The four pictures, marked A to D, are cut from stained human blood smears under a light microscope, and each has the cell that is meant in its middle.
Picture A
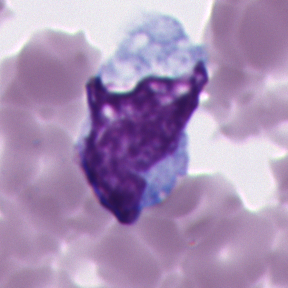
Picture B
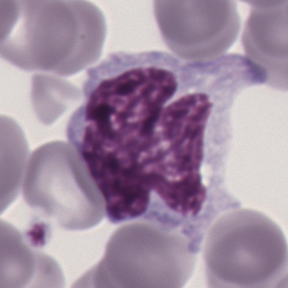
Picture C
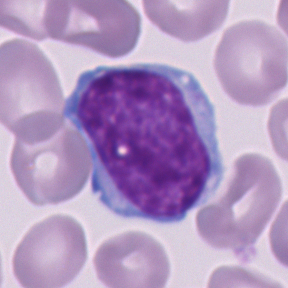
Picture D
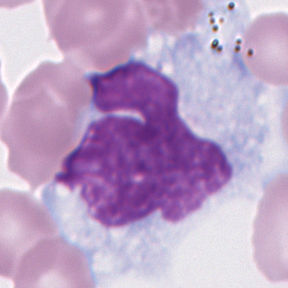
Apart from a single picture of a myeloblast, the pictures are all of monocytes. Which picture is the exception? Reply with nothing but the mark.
C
